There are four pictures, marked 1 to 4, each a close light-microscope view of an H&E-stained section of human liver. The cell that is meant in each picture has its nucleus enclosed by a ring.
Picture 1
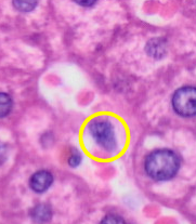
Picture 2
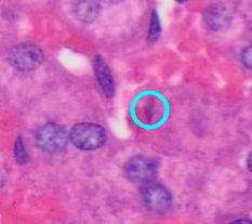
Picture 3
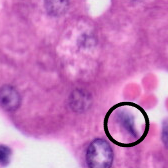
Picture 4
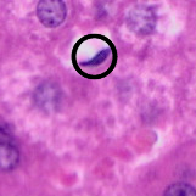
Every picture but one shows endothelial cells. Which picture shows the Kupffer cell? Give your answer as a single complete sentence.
Picture 1 is the one that shows the Kupffer cell.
